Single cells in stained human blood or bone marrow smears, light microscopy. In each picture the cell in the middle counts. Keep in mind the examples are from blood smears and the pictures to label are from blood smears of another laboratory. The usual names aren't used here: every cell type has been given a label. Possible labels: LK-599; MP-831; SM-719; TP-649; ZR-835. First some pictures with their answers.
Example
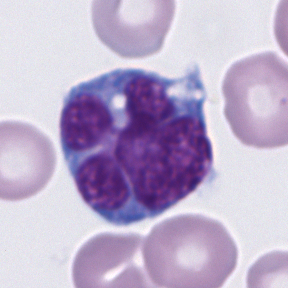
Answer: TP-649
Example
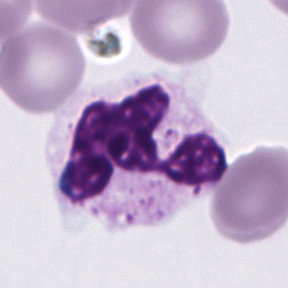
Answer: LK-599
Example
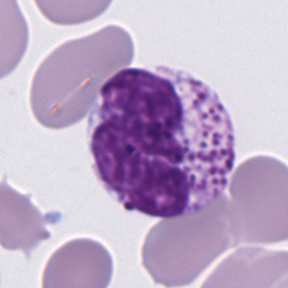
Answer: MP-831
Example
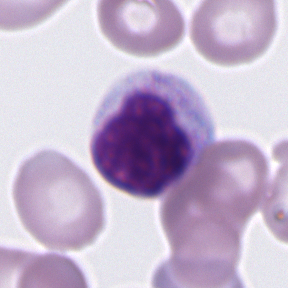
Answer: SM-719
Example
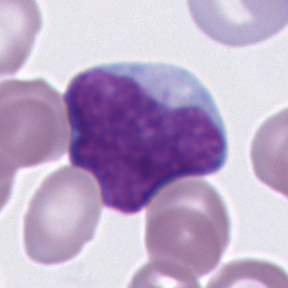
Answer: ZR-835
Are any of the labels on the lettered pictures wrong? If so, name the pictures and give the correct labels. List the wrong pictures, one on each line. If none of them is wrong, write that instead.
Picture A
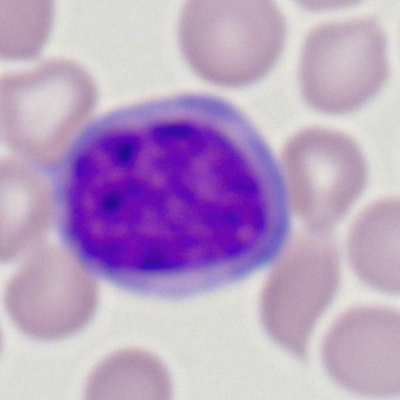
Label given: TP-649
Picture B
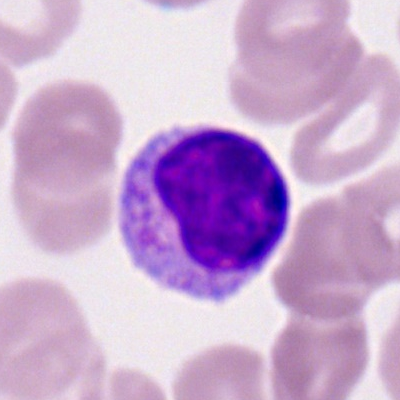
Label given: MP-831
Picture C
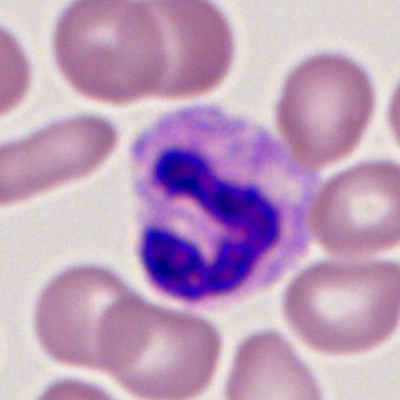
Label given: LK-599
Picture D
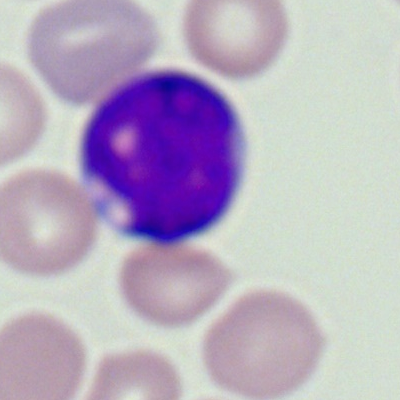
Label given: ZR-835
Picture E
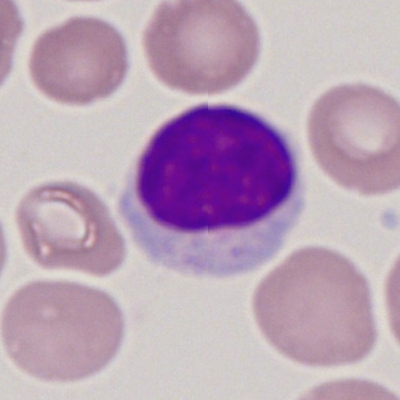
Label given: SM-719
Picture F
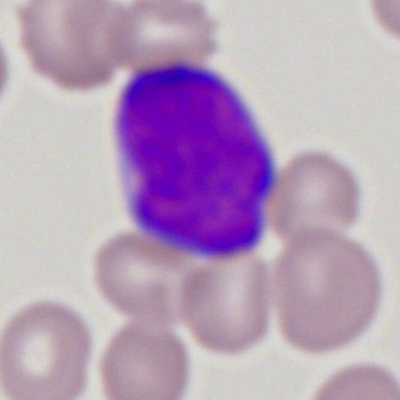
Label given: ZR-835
B: change MP-831 to SM-719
